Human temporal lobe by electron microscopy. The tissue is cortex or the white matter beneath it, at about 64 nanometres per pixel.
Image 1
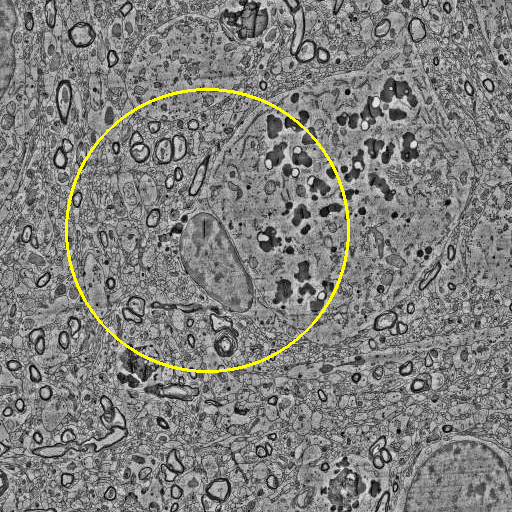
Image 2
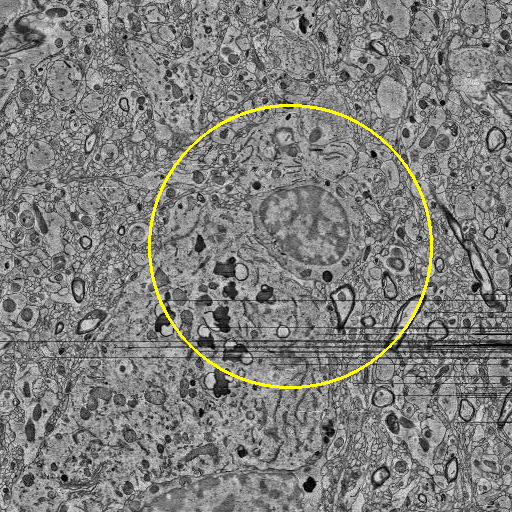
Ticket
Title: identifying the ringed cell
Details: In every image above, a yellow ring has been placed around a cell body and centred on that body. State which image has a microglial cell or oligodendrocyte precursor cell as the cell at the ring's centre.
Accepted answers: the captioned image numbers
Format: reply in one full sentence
The ring in image 1 is centred on the cell in question.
